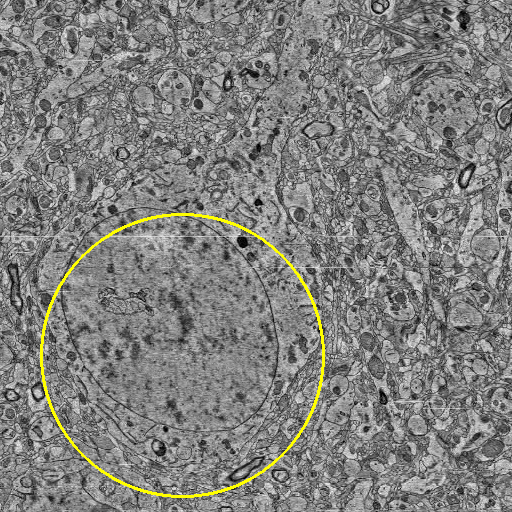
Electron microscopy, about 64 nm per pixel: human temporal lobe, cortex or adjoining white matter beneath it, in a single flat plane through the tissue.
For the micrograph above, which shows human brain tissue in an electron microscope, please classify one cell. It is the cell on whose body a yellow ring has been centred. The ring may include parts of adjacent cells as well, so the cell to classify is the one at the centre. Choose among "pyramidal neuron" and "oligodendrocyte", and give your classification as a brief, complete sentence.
I classify this cell as a pyramidal neuron.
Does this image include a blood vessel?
No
